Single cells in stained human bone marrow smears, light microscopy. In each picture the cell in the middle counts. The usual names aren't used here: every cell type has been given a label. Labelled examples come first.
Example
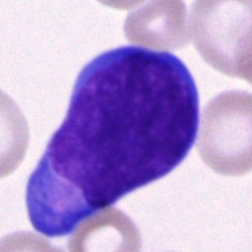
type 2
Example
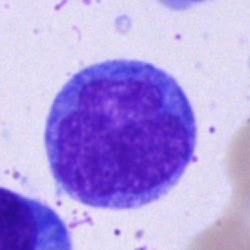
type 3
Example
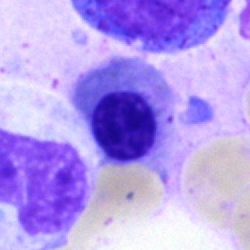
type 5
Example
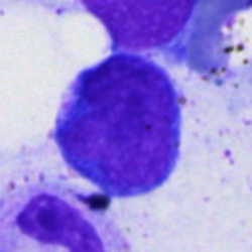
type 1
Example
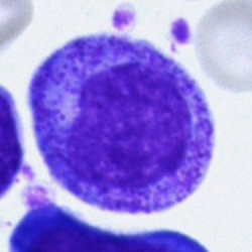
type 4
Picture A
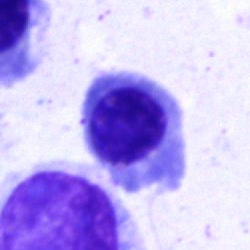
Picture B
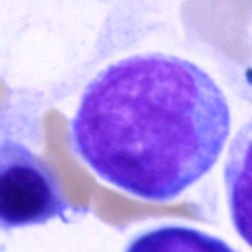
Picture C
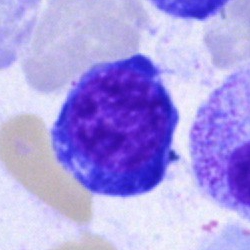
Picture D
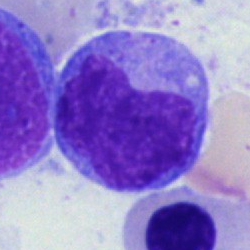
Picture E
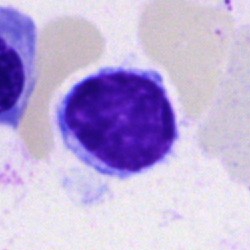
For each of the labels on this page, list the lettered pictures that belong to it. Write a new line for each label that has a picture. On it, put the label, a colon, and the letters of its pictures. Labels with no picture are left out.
type 2: B
type 3: D
type 5: A, C
type 1: E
